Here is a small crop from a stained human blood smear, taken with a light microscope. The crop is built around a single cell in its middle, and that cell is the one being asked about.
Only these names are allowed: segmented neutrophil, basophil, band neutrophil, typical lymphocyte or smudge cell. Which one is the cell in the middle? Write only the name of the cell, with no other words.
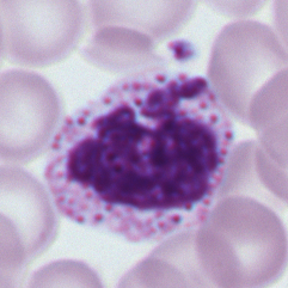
basophil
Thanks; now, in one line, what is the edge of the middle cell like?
Its surface contour departs from smoothness through ragged edges or outward projections.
